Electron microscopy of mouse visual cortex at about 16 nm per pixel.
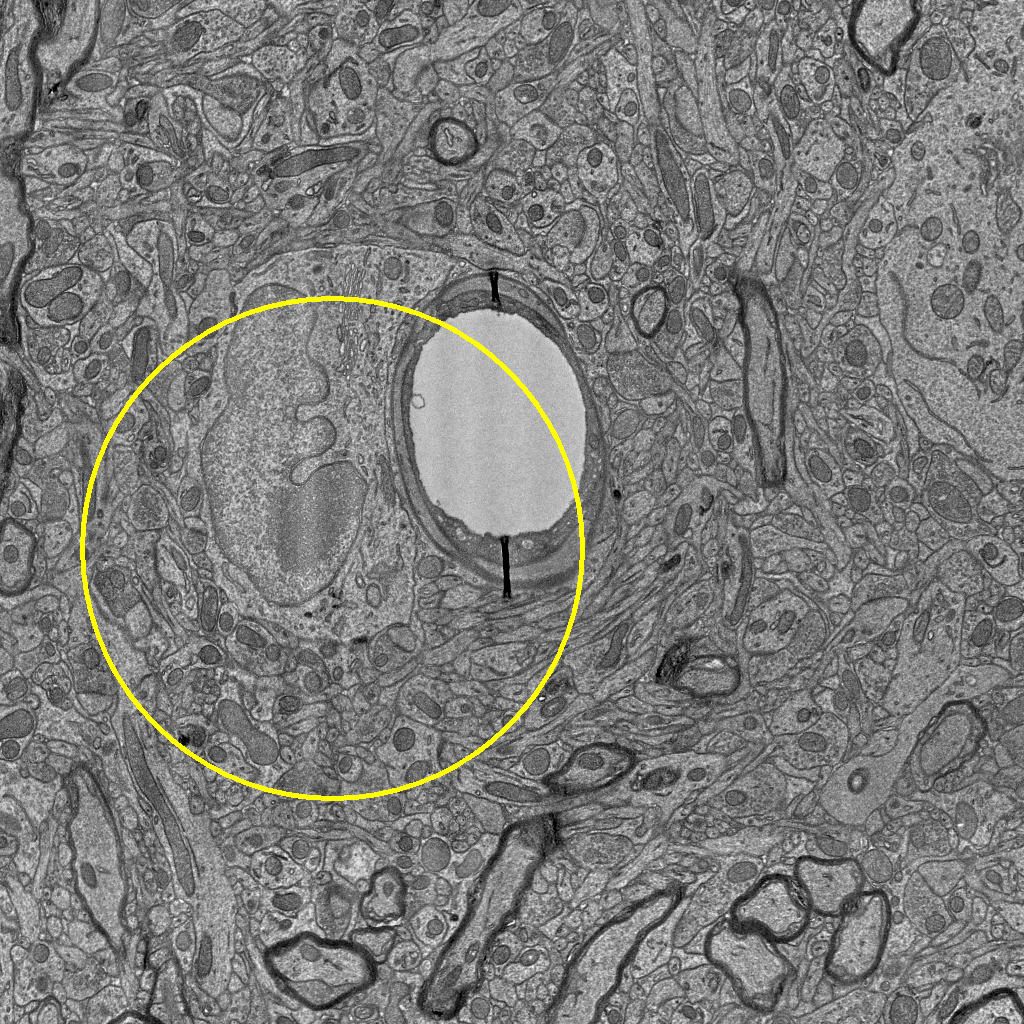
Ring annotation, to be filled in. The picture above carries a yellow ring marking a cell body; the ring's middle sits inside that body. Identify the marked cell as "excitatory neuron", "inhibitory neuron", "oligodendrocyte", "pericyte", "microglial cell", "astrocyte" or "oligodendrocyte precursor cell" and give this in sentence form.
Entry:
The cell at the middle of the ring is an oligodendrocyte precursor cell.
